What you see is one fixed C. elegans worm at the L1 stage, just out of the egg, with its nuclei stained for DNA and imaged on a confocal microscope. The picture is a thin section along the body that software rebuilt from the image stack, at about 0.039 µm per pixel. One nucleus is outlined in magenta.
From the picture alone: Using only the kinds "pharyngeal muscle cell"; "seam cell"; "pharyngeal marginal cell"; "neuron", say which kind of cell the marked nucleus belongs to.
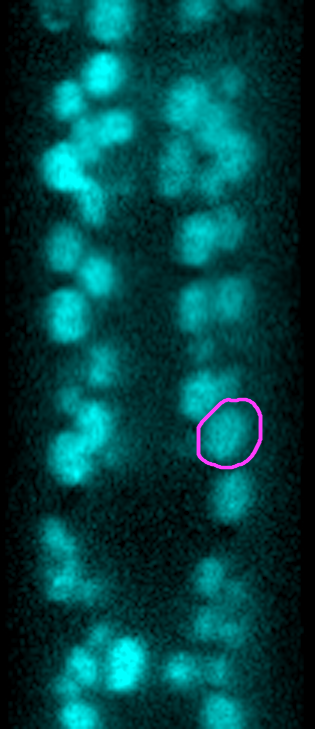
neuron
